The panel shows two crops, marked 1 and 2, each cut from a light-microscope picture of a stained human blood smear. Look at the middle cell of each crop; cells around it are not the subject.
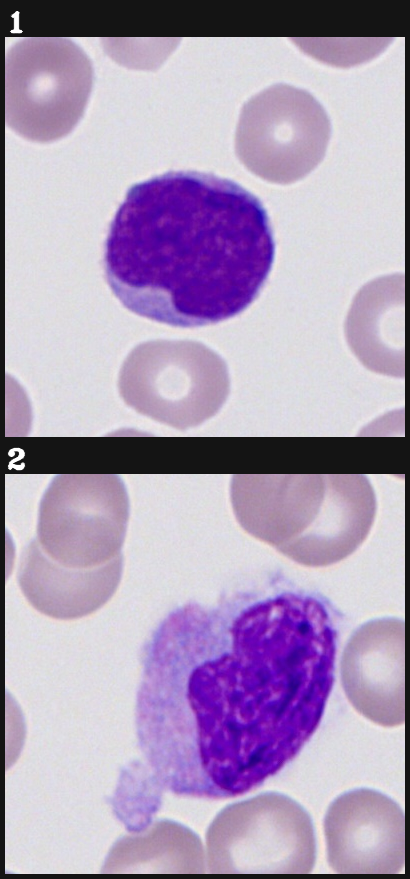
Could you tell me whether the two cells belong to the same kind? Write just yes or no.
no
